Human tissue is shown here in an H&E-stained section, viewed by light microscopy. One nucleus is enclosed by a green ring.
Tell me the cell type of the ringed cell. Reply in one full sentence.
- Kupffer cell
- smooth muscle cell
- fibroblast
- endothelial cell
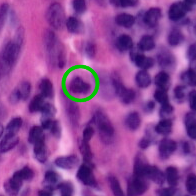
In this field of tissue, the ringed cell is an endothelial cell.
